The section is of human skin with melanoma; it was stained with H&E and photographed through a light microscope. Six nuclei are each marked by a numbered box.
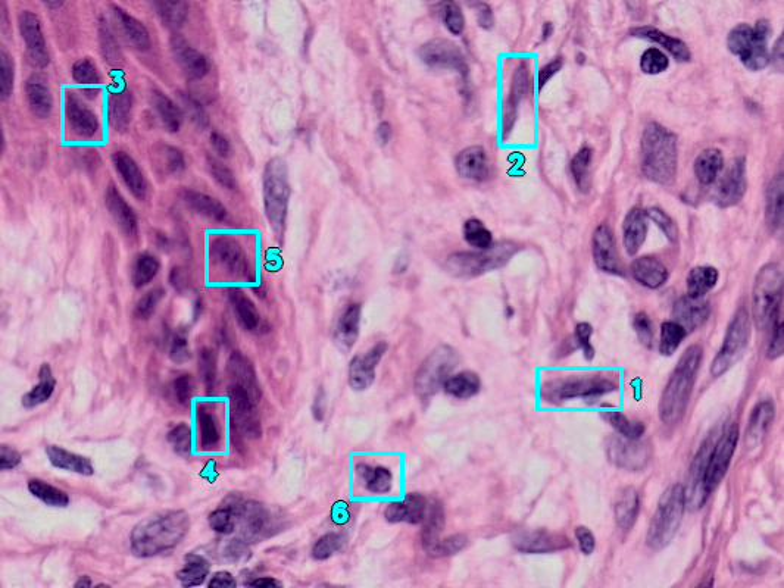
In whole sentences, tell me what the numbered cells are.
Cell 1 is a fibroblast or myofibroblast, cell 2 is a fibroblast or myofibroblast, cell 3 is a keratinocyte, cell 4 is a keratinocyte, cell 5 is a keratinocyte and cell 6 is a lymphocyte.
